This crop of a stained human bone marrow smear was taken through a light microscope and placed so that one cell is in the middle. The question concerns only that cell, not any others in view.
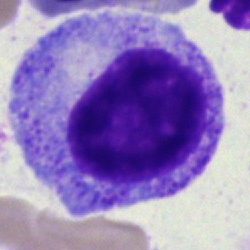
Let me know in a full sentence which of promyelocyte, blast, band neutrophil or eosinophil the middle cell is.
The middle of this crop holds a promyelocyte.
